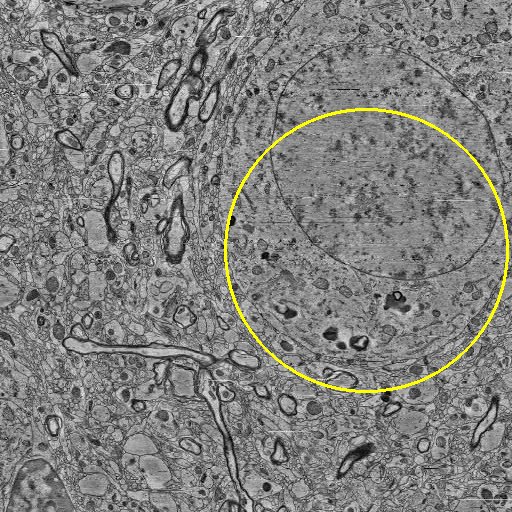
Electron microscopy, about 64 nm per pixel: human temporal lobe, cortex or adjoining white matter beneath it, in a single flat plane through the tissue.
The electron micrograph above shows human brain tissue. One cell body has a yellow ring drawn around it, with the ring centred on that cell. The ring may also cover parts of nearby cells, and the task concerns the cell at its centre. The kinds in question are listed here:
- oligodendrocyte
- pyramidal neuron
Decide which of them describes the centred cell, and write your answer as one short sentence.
The centred cell is a pyramidal neuron.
